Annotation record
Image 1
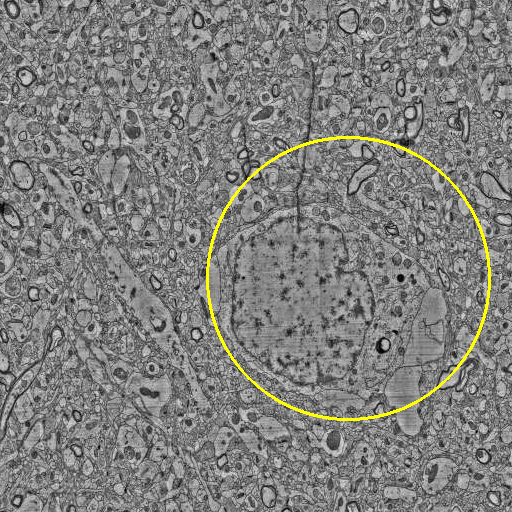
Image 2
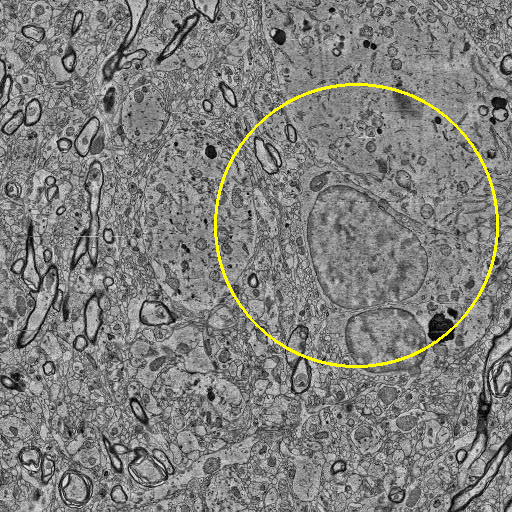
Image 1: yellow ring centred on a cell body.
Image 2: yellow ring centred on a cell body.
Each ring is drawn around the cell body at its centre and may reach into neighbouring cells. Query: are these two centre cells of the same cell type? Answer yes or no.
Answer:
no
